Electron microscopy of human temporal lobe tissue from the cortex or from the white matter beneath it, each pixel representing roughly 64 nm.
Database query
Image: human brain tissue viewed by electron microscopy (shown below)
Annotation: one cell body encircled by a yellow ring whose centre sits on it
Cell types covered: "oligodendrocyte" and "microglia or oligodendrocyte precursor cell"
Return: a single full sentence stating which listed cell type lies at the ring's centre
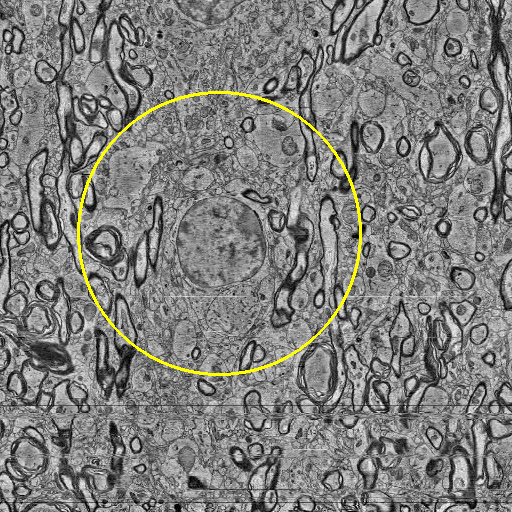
In the image, the cell lying at the ring's centre is a microglial cell or oligodendrocyte precursor cell.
